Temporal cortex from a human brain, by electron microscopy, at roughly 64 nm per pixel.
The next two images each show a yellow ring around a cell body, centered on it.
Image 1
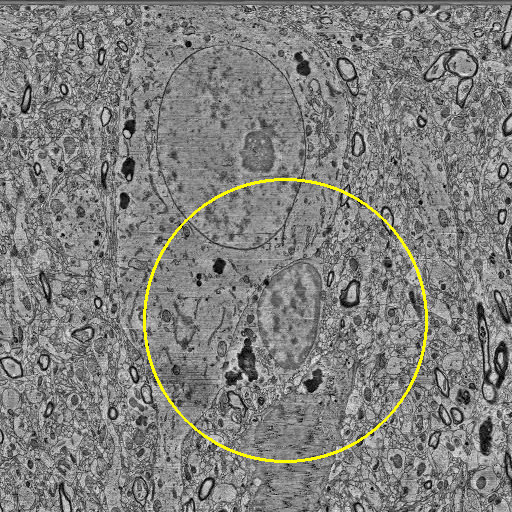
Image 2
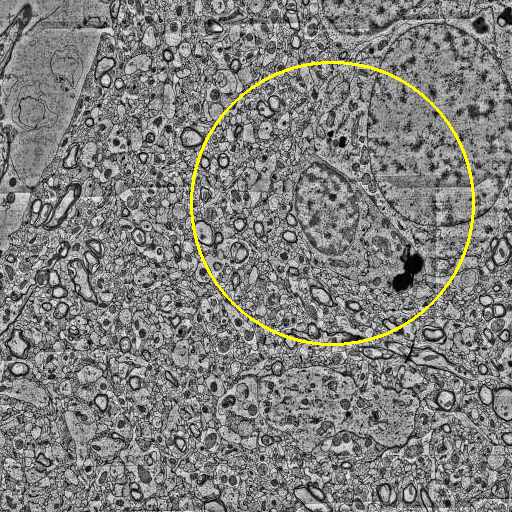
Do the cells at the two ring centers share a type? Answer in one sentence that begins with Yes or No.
Yes, across the two images the cells at the ring centers share one type.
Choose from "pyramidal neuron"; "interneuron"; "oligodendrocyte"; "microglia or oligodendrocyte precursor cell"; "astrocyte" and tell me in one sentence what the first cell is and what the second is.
Each cell at the centre of a ring is an oligodendrocyte.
